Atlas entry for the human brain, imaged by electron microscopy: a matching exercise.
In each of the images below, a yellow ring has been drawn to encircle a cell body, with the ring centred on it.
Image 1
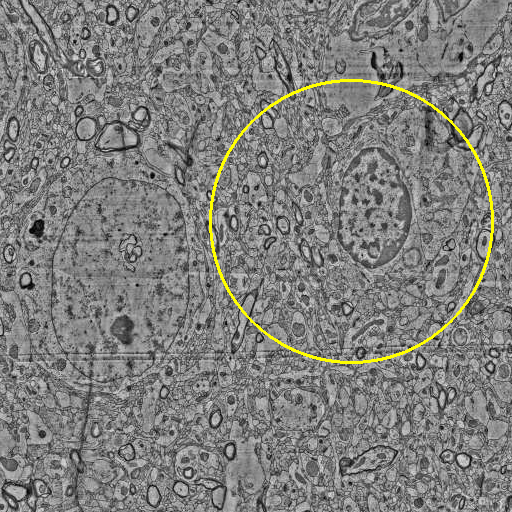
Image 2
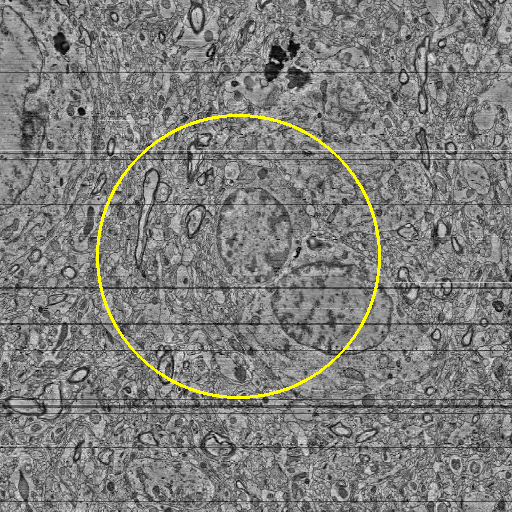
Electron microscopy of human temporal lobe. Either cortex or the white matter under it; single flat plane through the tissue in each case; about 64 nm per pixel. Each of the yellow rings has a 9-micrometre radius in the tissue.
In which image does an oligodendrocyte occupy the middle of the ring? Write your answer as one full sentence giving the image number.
In image 2, the ring is centred on the cell in question.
